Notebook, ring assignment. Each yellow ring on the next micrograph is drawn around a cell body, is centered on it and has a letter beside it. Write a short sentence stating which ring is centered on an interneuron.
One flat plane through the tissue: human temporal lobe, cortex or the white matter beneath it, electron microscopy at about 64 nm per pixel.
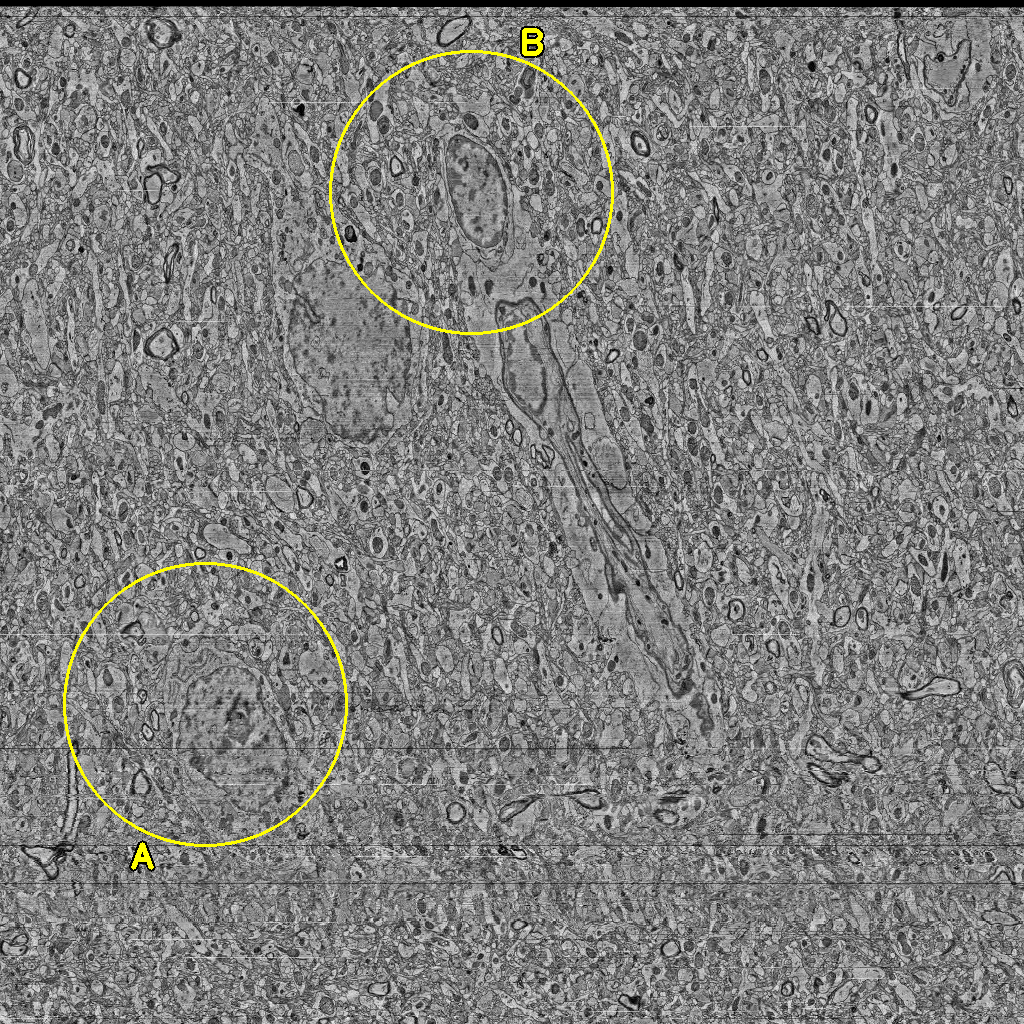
Ring A is centered on it.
